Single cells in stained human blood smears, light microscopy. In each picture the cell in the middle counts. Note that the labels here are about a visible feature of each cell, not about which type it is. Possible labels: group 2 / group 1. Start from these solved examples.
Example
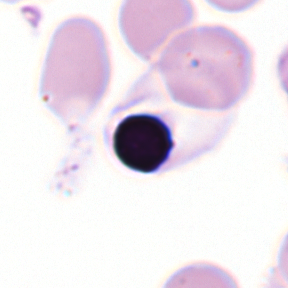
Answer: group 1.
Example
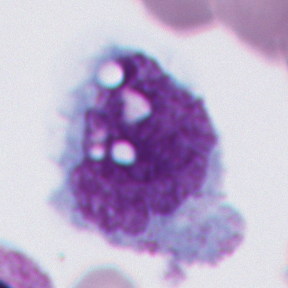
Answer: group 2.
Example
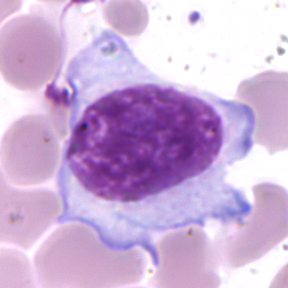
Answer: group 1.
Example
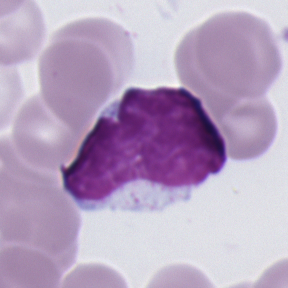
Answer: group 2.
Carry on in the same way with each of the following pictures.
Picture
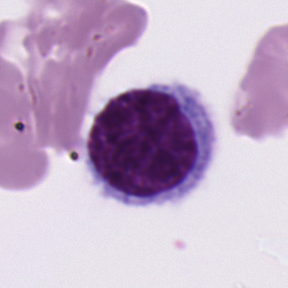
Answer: group 2.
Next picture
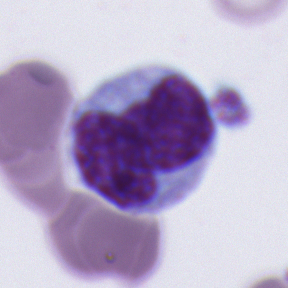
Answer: group 2.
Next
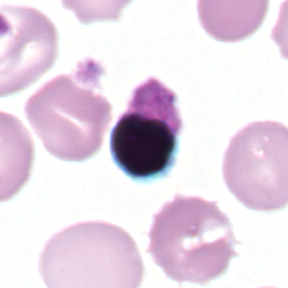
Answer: group 2.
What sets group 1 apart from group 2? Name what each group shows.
In group 1: abundant cytoplasm. In group 2: scant cytoplasm.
